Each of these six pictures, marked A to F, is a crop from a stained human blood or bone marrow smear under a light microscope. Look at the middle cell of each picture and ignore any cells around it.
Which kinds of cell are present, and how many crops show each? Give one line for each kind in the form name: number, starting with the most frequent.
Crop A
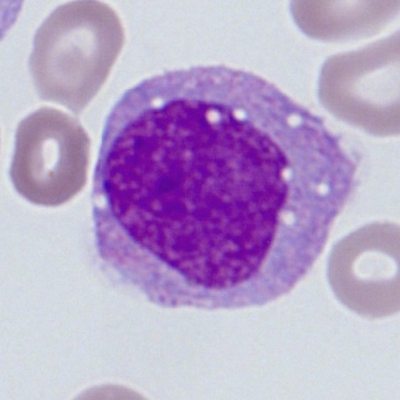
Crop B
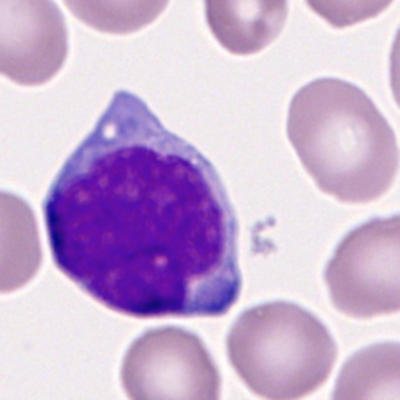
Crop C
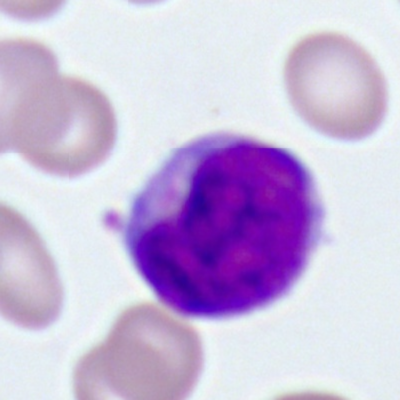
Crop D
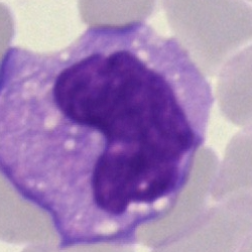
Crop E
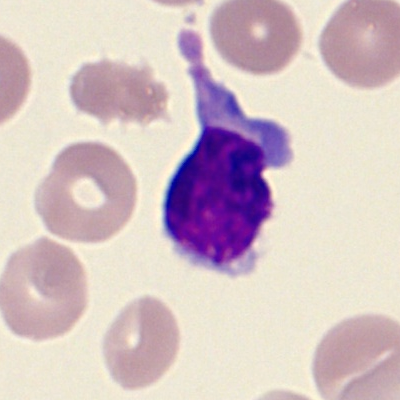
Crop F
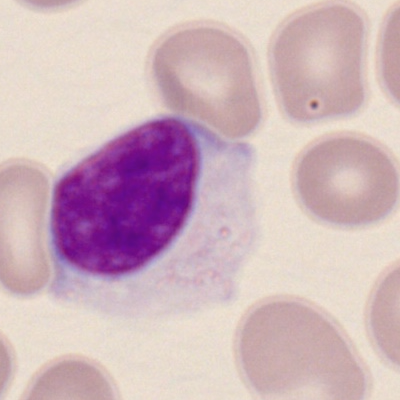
blast: 3
lymphocyte: 2
monocyte: 1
